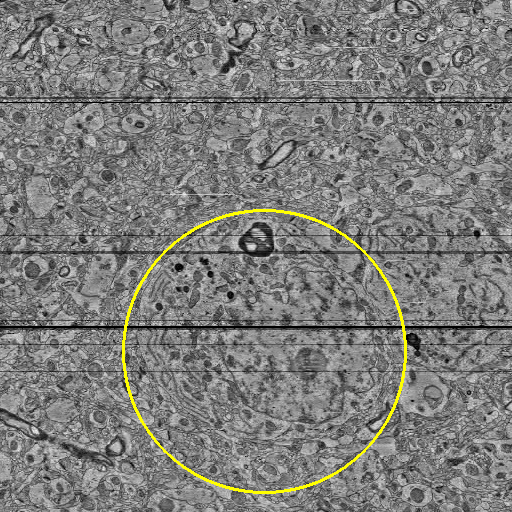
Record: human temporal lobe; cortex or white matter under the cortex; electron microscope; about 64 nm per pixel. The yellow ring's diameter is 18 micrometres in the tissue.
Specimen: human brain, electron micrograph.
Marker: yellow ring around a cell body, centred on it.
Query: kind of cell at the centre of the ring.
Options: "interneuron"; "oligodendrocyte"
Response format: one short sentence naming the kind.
This cell body belongs to an interneuron.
